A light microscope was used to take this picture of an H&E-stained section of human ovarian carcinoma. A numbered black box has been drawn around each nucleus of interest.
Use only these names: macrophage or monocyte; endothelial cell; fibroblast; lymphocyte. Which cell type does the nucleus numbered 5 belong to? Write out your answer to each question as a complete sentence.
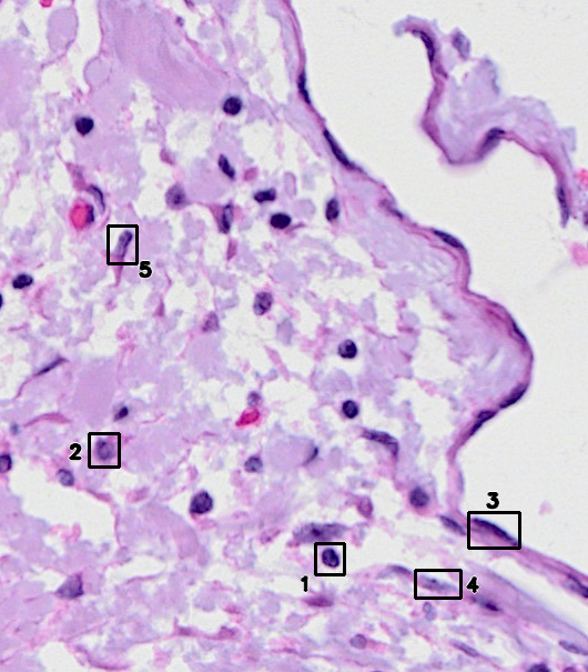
The cell indicated by marker 5 is a fibroblast in this section.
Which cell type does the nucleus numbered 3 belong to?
The cell marked with the number 3 is an endothelial cell.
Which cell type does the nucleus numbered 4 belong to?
Among the marked nuclei, number 4 belongs to a fibroblast.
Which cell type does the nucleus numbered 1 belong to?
Classified as a lymphocyte is the cell with the number 1.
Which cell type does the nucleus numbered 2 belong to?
Marked with the number 2, this cell is a macrophage or monocyte.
